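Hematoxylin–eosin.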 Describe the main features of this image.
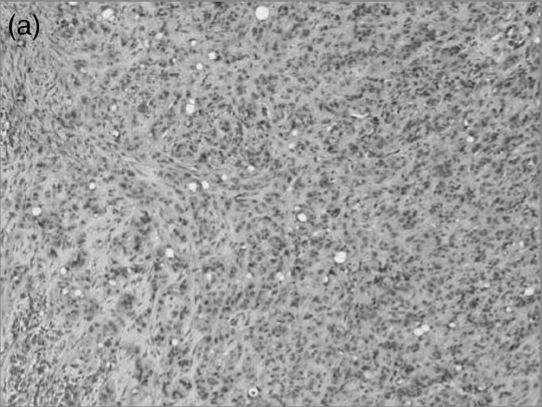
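The field, shown in grey tones, is filled by a crowded proliferation of plump, polygonal cells with oval nuclei and a moderate rim of cytoplasm, grouped in clusters and short strands within a paler fibrous stroma. Small round clear spaces are scattered among the cells throughout. Toward the left edge the stroma becomes more fibrous and streaming, with elongated nuclei. Together this reads as a neoplastic proliferation of epithelioid cells arranged in nests and cords.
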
